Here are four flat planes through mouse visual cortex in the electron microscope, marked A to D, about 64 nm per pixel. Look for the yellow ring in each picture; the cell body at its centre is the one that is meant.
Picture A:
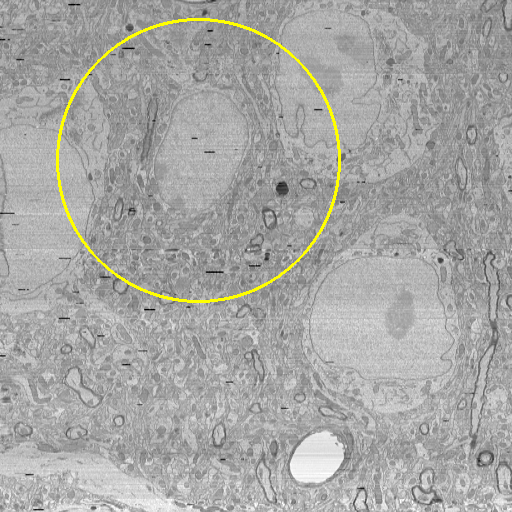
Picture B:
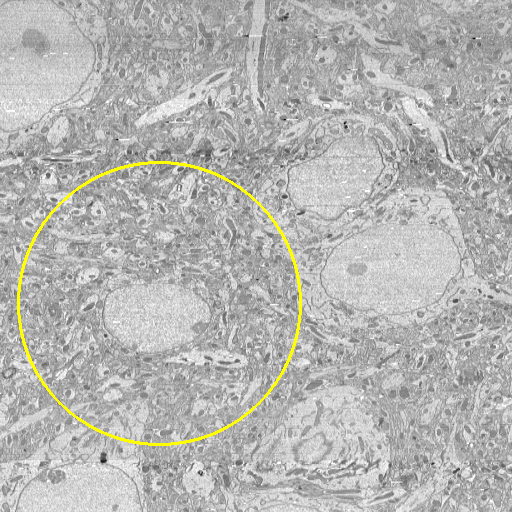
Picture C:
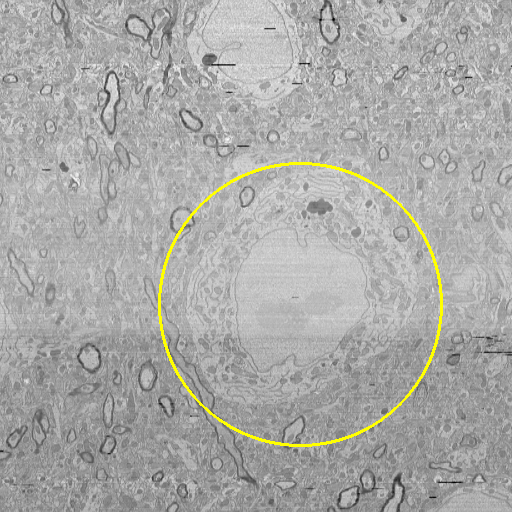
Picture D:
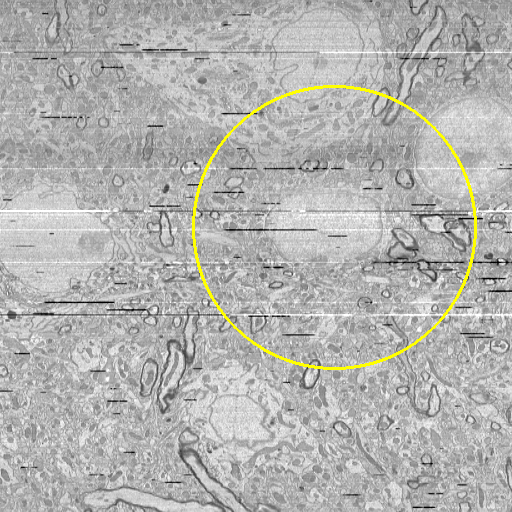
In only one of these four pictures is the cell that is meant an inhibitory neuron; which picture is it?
Picture C shows the inhibitory neuron.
